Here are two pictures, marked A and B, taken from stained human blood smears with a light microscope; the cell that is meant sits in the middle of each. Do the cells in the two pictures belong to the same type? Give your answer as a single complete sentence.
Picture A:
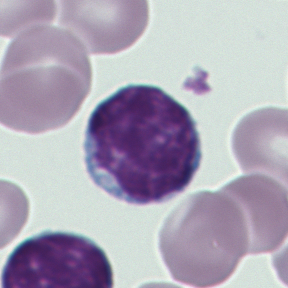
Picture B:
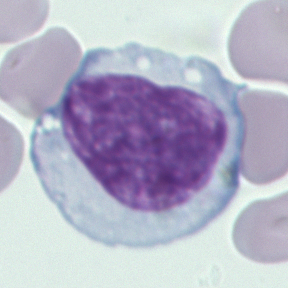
No, the types are not the same, since picture A shows a typical lymphocyte and picture B a myeloblast.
